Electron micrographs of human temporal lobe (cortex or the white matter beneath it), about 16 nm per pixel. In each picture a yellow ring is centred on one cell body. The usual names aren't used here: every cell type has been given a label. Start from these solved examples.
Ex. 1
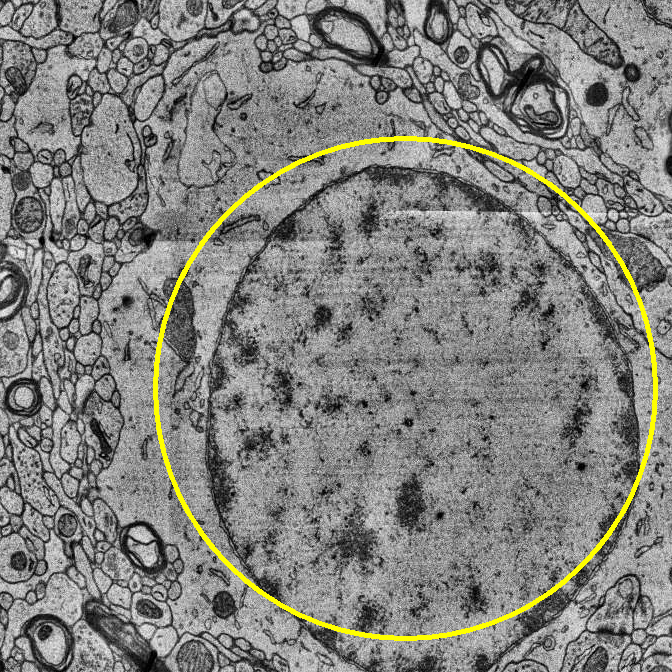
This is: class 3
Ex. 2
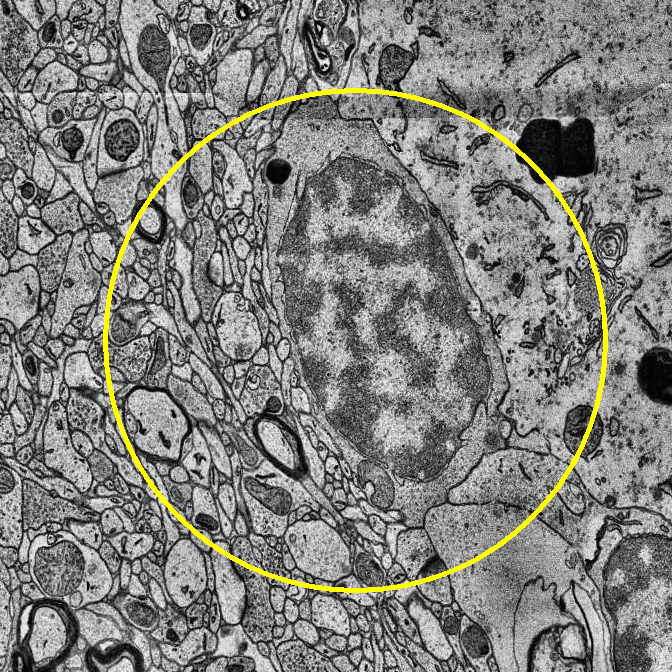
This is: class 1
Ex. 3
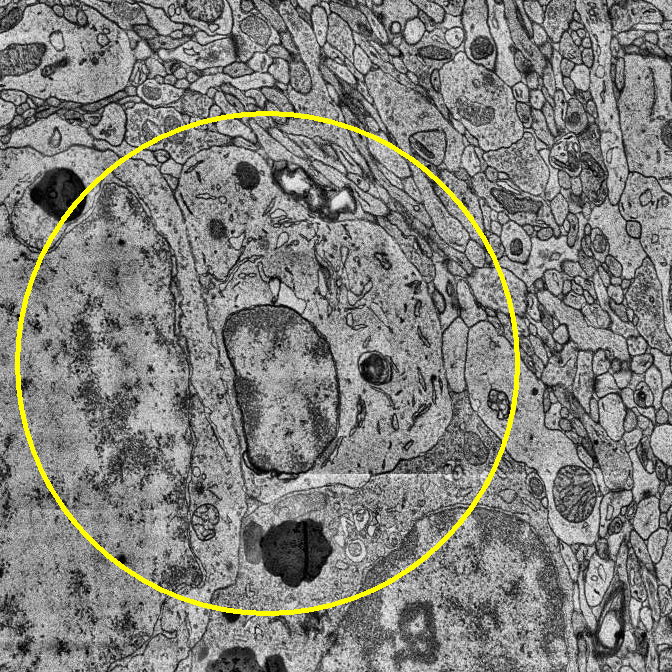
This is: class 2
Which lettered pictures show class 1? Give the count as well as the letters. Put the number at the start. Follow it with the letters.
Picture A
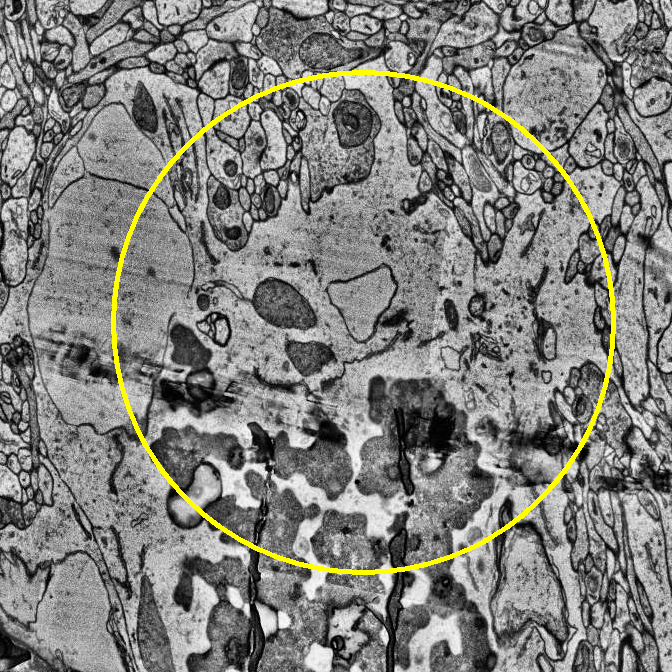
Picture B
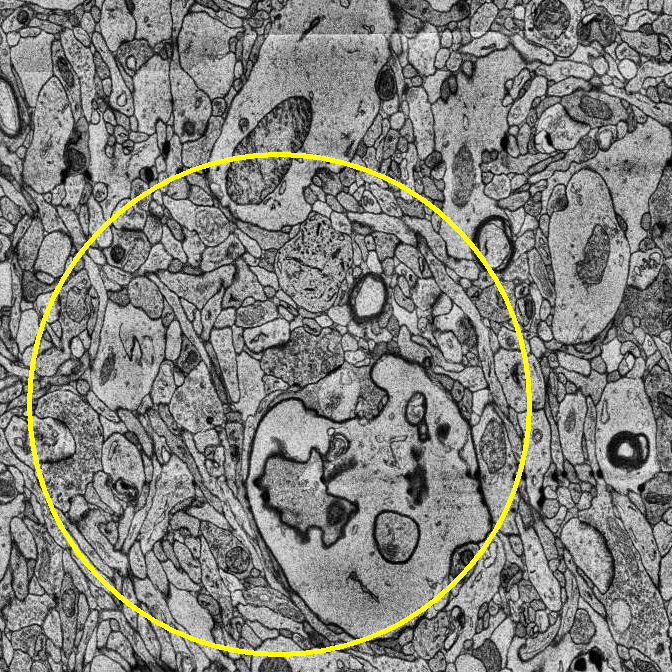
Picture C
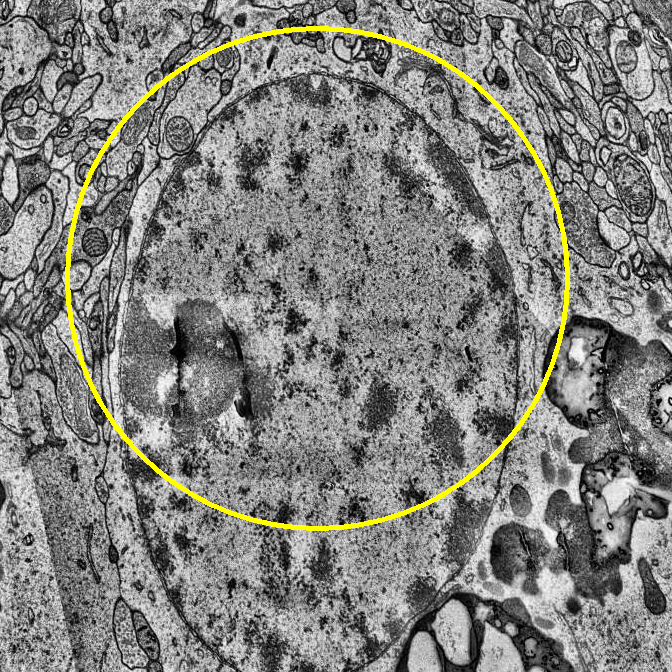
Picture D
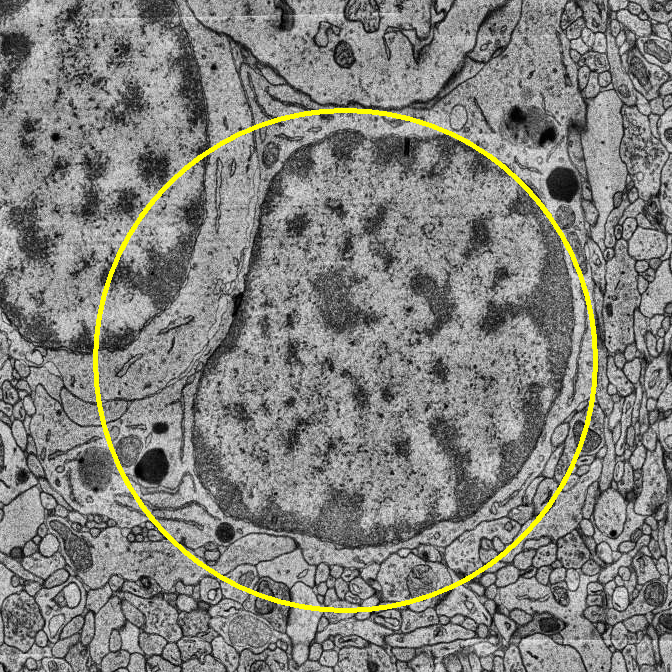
1: B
